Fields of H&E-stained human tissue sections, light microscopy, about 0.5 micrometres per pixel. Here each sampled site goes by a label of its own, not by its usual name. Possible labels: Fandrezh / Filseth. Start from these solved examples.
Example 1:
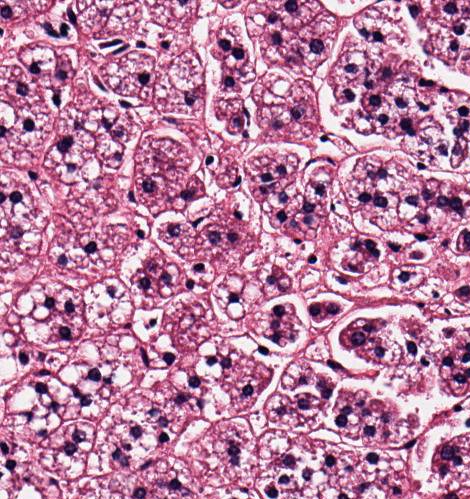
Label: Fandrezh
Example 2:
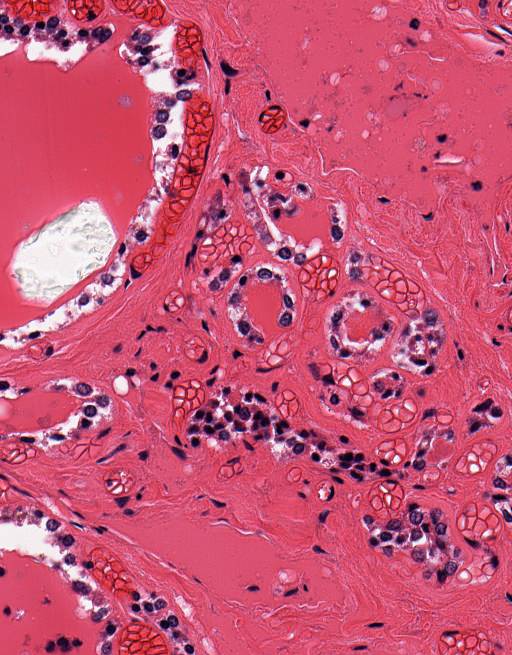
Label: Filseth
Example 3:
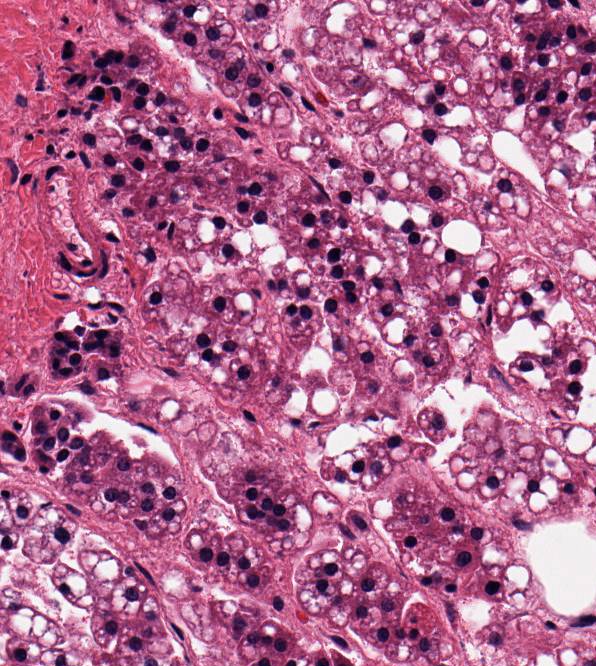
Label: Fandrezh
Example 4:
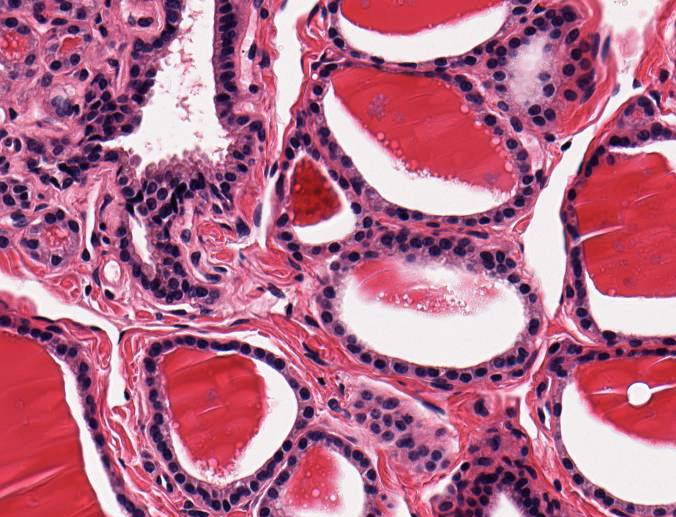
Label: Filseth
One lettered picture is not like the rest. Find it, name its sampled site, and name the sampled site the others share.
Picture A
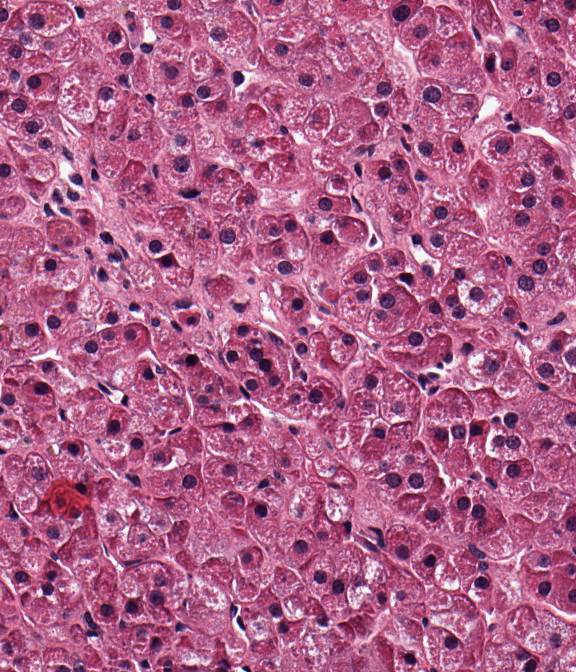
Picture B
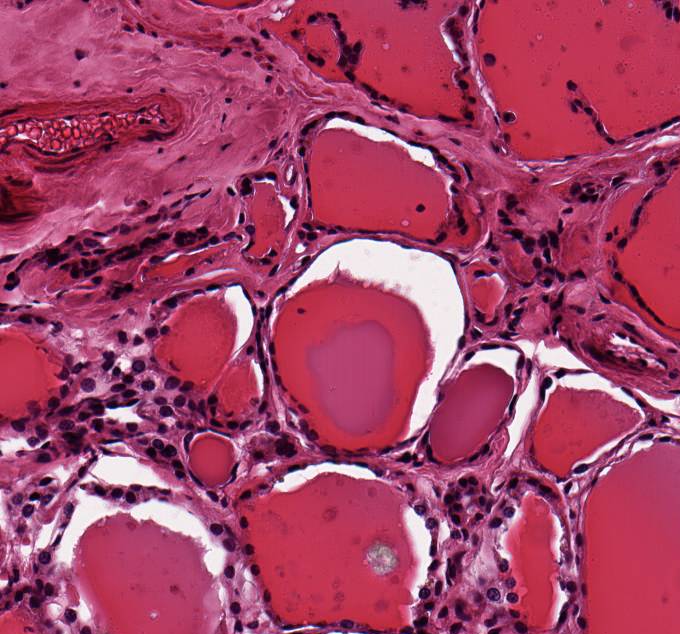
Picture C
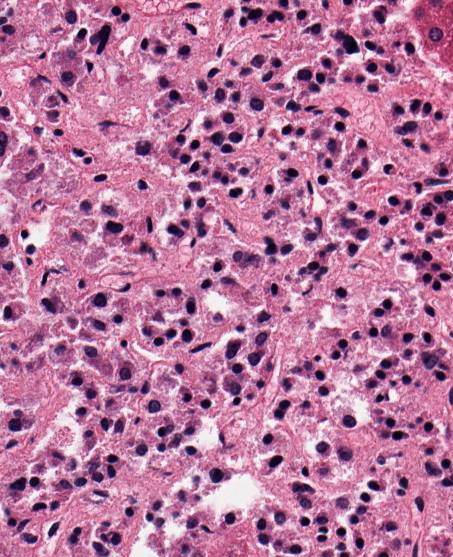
B: Filseth; all the others: Fandrezh.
